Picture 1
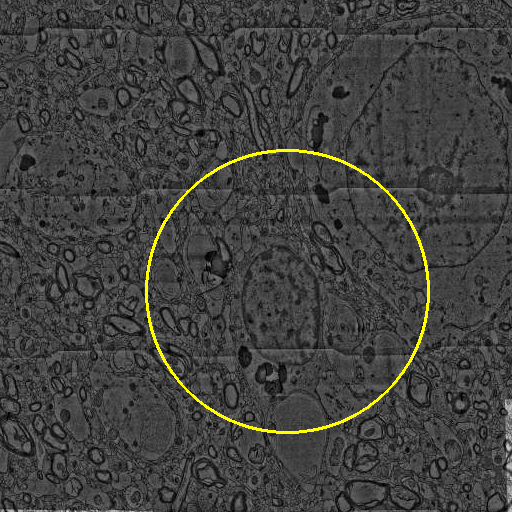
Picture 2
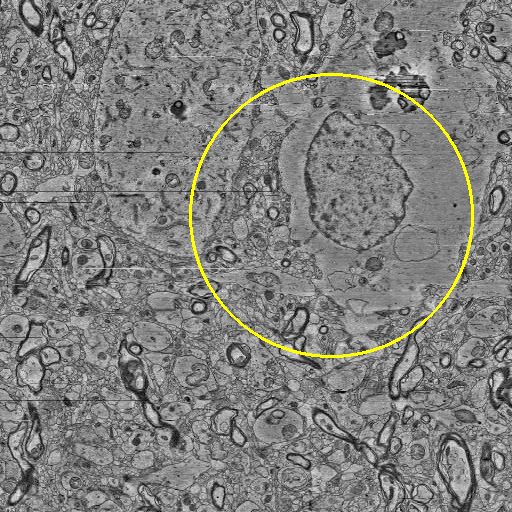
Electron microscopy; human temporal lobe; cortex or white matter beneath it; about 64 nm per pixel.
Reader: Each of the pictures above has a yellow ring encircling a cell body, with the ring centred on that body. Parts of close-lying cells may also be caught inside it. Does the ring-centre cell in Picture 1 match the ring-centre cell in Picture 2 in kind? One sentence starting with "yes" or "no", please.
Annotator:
No, Picture 1 and Picture 2 show ring-centre cells of two kinds.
